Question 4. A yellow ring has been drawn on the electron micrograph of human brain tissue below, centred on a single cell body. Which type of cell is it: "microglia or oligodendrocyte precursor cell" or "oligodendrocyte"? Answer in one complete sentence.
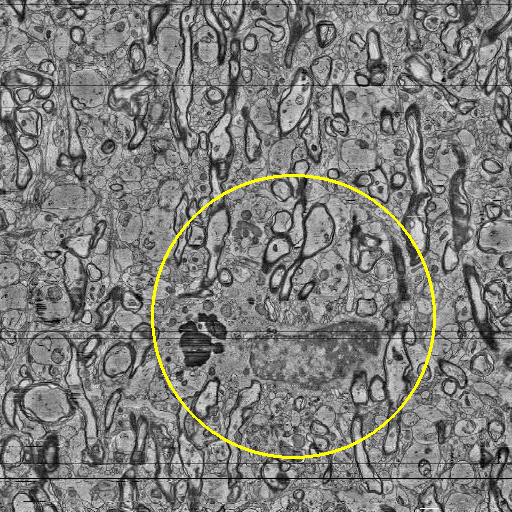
This cell body belongs to an oligodendrocyte.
